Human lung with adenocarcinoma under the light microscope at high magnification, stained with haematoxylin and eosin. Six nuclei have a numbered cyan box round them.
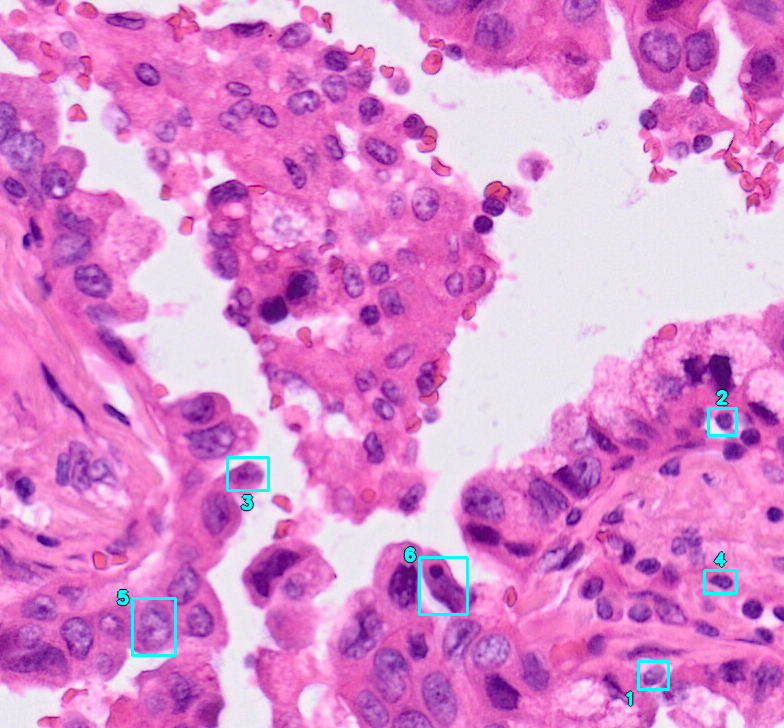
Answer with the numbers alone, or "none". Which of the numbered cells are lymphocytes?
1, 2, 4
